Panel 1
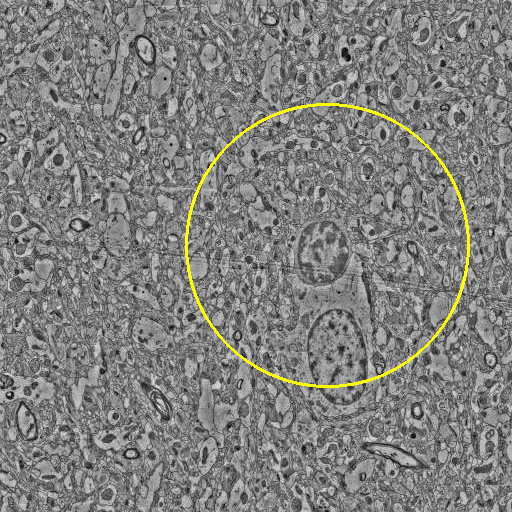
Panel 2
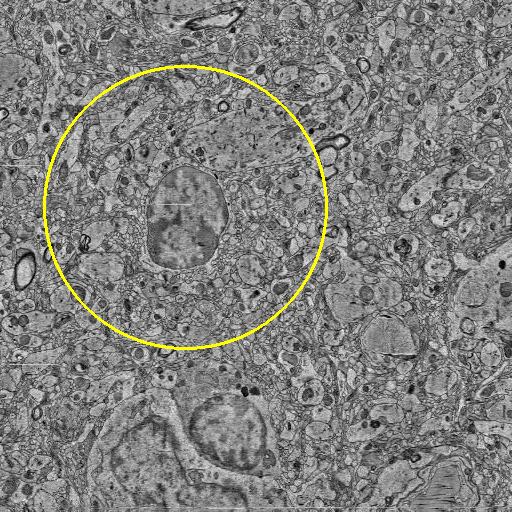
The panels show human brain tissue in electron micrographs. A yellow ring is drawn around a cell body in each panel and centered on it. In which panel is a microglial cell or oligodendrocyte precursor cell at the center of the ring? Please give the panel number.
2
